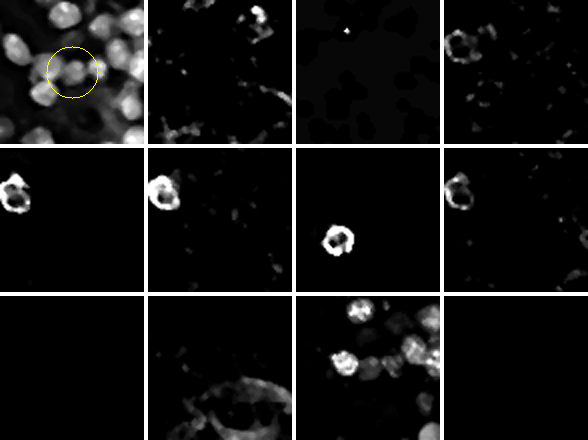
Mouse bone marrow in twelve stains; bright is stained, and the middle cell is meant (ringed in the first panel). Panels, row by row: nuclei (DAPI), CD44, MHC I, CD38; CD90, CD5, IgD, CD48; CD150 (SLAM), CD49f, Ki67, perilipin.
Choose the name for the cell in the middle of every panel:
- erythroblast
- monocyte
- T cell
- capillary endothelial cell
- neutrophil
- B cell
erythroblast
